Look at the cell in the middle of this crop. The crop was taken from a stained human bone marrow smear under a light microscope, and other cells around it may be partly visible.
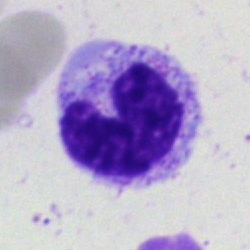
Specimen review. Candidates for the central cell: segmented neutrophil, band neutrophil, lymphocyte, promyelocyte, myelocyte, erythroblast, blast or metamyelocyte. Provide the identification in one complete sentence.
Of the cells in this crop, the central one is a band neutrophil.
